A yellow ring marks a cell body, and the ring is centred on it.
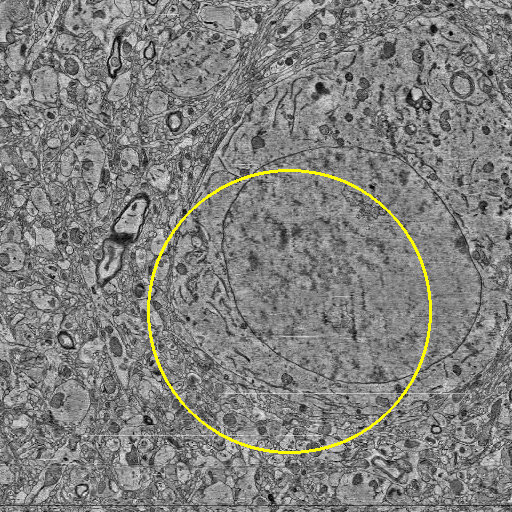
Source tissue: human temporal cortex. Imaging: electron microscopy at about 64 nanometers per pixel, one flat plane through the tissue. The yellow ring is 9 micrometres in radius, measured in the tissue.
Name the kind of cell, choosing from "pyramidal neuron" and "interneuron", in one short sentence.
The marked cell body belongs to a pyramidal neuron.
